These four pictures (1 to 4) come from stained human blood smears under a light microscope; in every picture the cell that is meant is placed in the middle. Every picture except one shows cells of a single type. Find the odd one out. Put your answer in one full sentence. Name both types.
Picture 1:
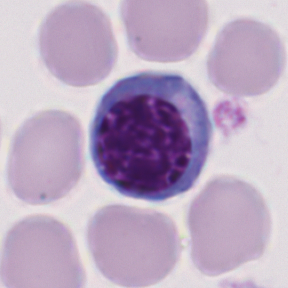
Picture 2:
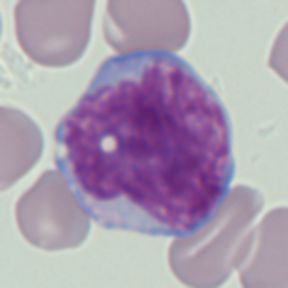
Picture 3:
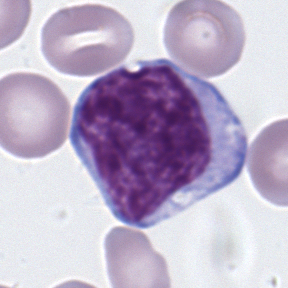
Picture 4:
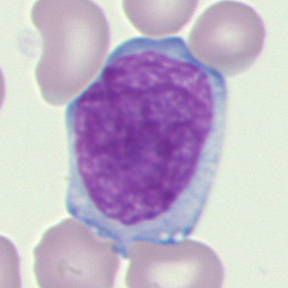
Picture 1 is the odd one out: it shows a normoblast, while the others show myeloblasts.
